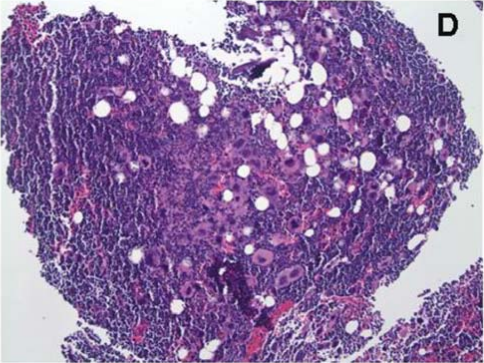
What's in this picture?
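This is a bone marrow section packed with blood-forming cells, among which many megakaryocytes are scattered. The marrow is highly cellular, made up of sheets of small, darkly stained nuclei of developing blood cells. Only scattered round clear holes remain where fat cells lay. The megakaryocytes are far larger than their neighbours, with pink cytoplasm and big, dark, folded or lobed nuclei. They are gathered most thickly toward the middle of the section.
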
